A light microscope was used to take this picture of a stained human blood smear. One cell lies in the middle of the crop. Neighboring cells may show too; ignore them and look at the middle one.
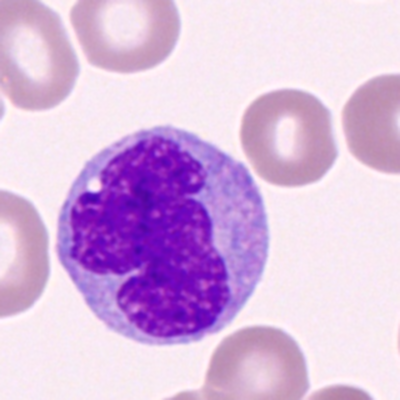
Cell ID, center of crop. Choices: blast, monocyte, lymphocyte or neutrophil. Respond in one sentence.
The cell at the heart of this crop is a monocyte.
